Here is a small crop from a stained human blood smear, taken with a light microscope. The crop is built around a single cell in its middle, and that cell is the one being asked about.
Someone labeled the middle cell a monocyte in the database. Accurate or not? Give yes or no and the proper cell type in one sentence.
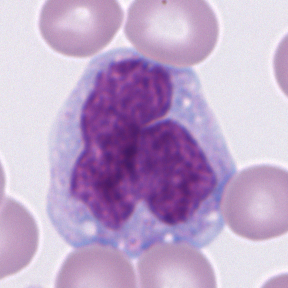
Yes, the crop's central cell is a monocyte.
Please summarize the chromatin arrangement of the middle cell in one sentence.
The chromatin here is fine and lacks any coarse clumps.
